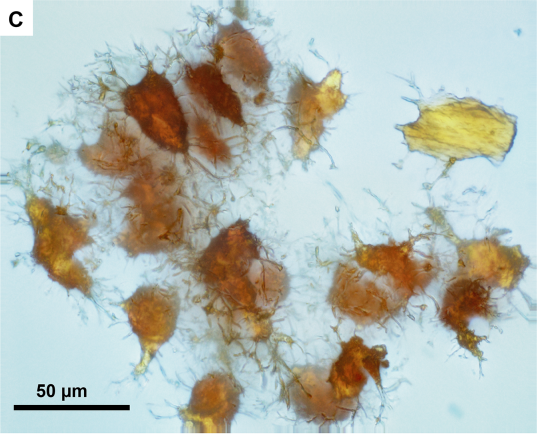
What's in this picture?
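Loose cluster of many isolated osteocyte-like bodies on a pale background. The bodies are ovoid, lenticular or spindle-shaped, varying from pale orange to deep reddish brown, several overlapping one another. Each is fringed by numerous fine, translucent, branching processes that intermingle between neighbours, forming a hazy network around the group. One flatter, paler yellow fragment with a striated texture lies apart at the upper right. No nuclei are visible within the bodies.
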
